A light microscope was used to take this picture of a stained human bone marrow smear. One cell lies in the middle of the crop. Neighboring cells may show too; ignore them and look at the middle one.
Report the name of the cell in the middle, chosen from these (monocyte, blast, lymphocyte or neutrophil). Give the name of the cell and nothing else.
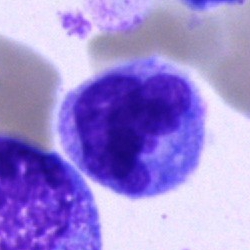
monocyte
